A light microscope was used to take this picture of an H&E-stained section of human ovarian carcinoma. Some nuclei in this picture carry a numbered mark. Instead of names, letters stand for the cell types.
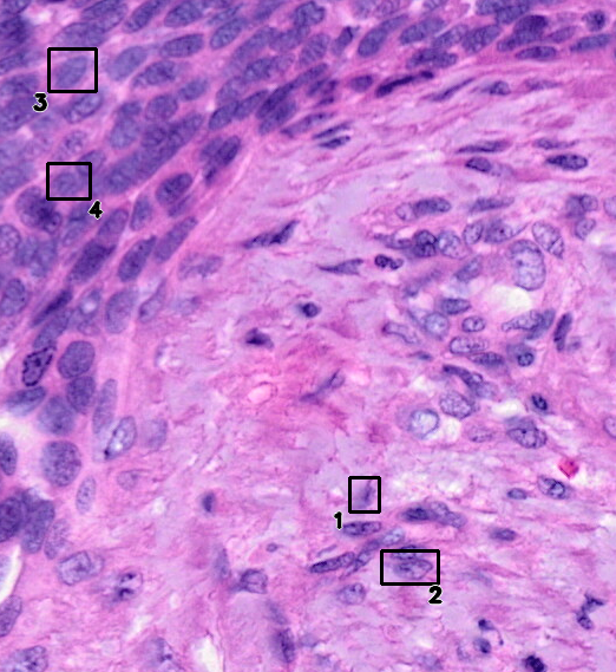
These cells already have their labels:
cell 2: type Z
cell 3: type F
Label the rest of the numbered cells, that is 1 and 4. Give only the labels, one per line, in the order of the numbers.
type Z
type F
